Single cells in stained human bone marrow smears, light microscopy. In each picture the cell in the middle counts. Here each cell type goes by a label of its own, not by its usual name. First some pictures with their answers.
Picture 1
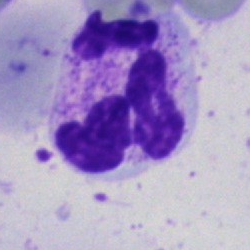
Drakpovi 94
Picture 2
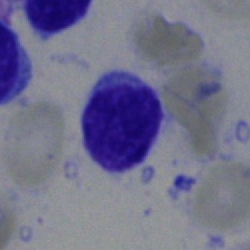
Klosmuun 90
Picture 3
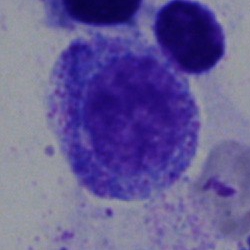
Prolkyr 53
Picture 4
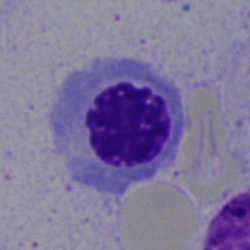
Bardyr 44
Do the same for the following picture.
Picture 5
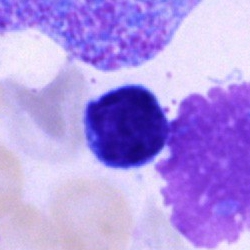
Klosmuun 90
